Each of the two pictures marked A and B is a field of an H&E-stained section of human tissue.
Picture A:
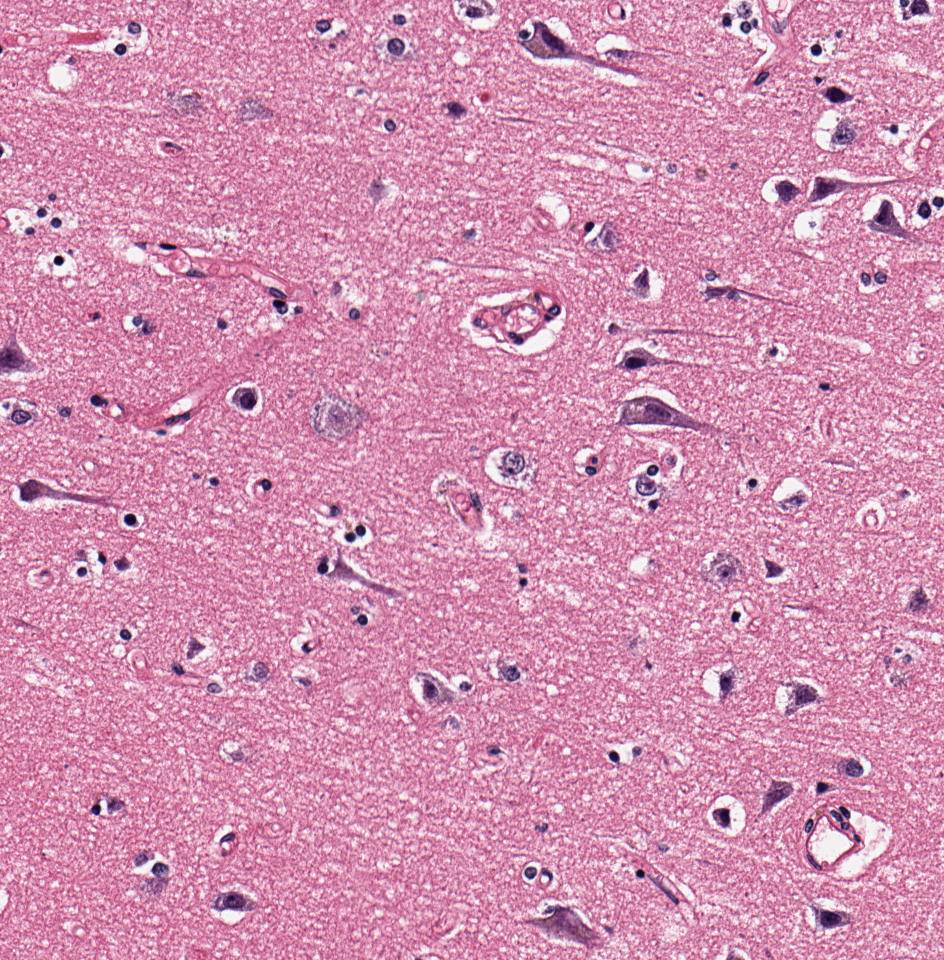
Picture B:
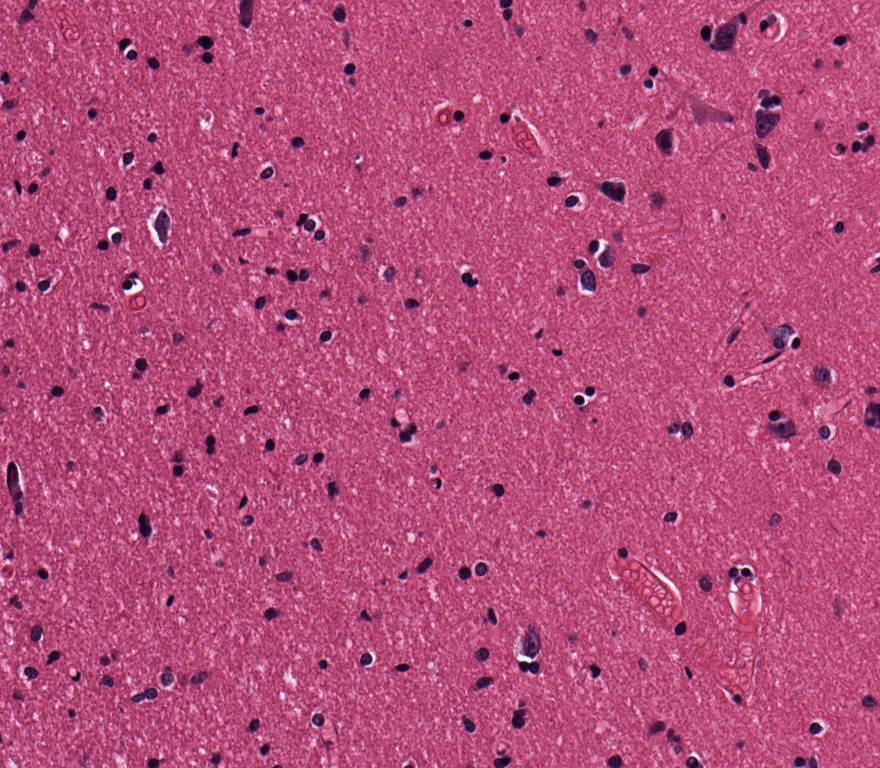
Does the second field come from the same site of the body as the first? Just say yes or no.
yes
